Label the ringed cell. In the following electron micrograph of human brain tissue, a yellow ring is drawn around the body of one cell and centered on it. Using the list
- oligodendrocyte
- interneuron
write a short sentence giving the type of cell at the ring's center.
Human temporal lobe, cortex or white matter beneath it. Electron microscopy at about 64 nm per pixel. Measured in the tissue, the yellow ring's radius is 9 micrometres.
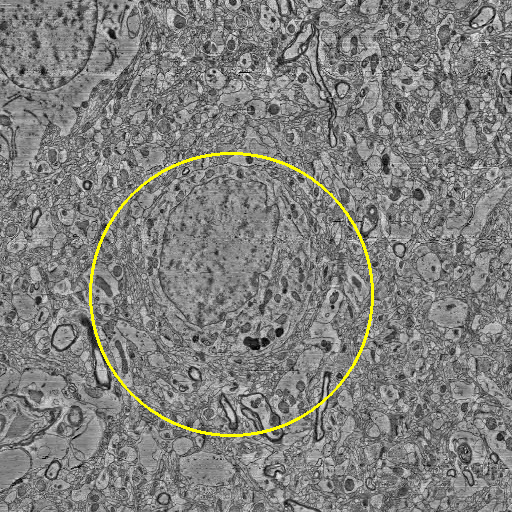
The cell body at the ring's center is that of an interneuron.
